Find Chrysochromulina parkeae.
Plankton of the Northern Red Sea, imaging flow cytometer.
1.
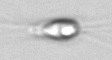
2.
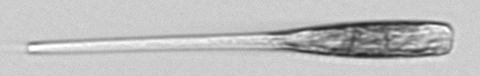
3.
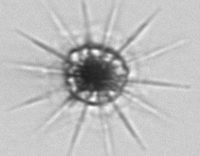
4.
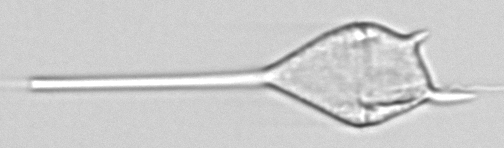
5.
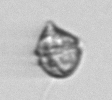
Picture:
1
